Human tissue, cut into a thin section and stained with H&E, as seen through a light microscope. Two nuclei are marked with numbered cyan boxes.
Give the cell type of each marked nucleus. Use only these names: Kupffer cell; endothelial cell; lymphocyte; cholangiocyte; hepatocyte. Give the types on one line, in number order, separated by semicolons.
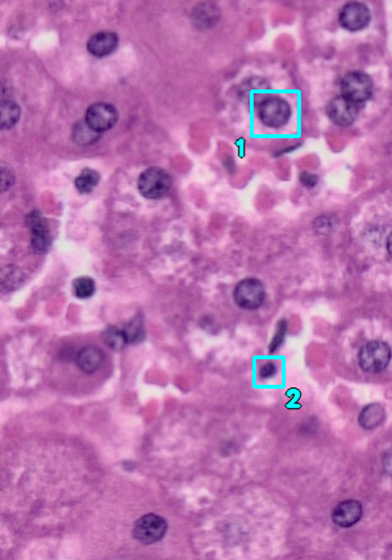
hepatocyte; lymphocyte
